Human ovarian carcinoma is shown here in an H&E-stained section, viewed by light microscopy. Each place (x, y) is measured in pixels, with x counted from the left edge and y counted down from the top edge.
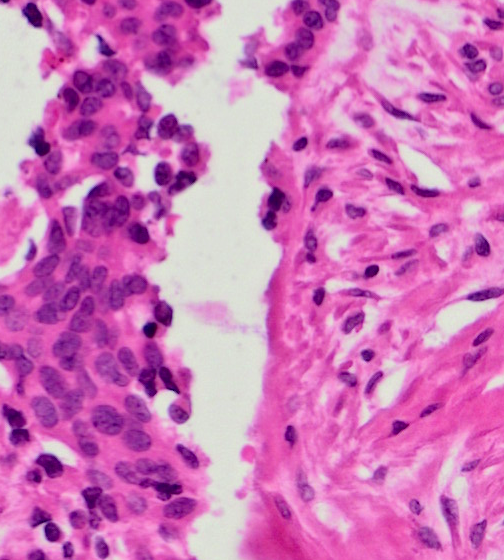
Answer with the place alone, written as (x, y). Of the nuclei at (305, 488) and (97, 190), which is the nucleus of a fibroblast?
(305, 488)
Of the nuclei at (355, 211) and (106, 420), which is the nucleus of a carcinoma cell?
(106, 420)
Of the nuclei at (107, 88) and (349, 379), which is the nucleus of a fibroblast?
(349, 379)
